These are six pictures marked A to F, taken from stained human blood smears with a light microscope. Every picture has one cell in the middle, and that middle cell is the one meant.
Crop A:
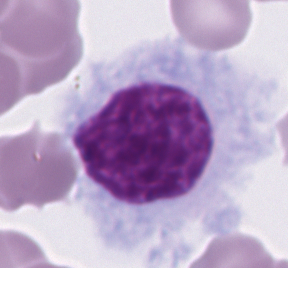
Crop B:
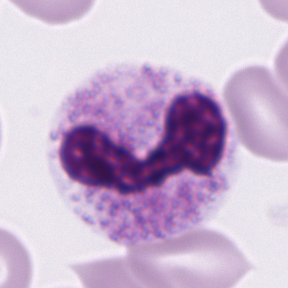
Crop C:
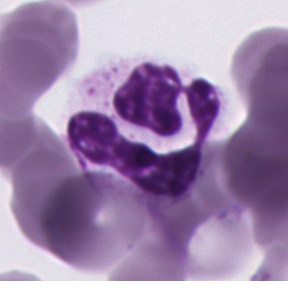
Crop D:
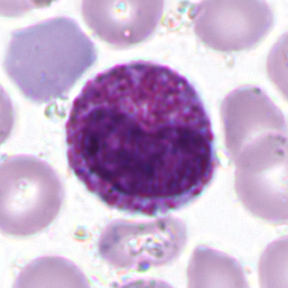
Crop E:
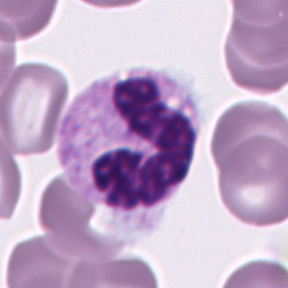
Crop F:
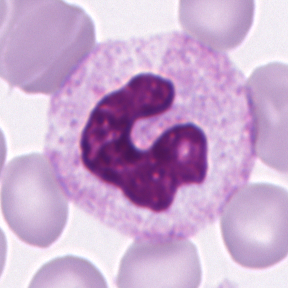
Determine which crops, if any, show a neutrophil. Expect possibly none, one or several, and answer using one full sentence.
For crops B, C, E and F, the central cells are neutrophils.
